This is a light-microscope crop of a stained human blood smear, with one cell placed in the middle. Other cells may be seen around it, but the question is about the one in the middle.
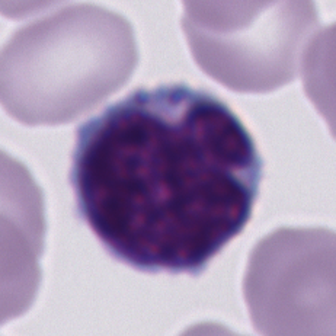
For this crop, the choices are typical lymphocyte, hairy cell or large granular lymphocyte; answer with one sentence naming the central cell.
For this crop, the cell in the middle is a typical lymphocyte.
